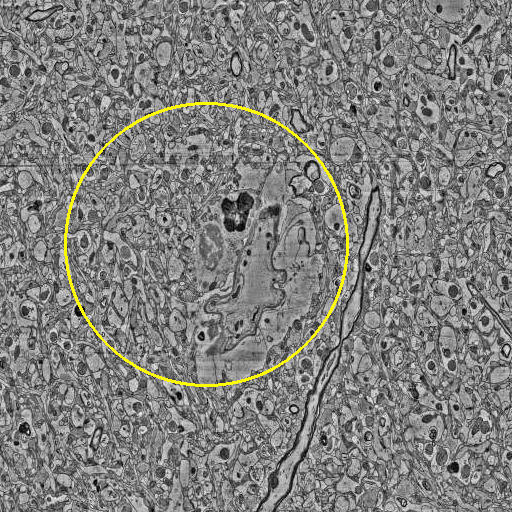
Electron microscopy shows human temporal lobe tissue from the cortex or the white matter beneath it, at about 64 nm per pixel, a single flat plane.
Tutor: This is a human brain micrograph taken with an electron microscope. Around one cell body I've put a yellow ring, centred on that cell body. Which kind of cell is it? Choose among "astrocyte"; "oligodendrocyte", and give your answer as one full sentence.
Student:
Going by your list, the cell centred in the yellow ring is an oligodendrocyte.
